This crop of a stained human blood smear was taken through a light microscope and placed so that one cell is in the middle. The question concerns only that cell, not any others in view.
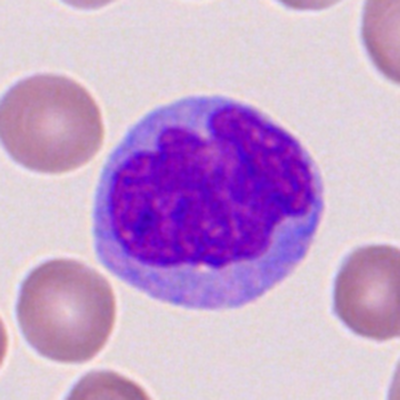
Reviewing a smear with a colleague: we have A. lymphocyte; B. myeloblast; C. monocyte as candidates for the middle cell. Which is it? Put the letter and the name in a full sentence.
Since the cell in the middle is a monocyte, option C is correct.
